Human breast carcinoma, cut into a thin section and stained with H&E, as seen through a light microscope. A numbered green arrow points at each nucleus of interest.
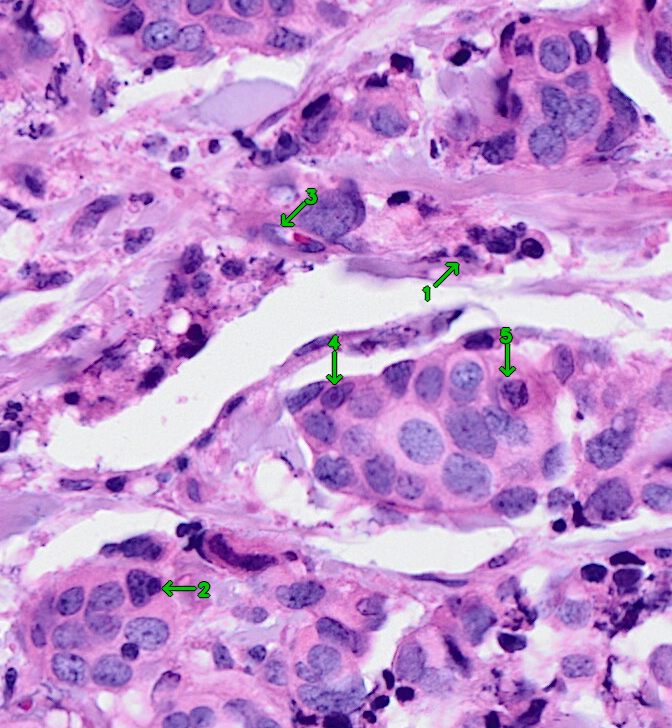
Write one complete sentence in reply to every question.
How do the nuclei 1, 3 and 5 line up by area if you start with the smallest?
By area, going up from the smallest, they rank 1, 3, 5.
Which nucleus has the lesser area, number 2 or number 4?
With nucleus 2 about 2 times its size, nucleus 4 is the smaller of the two.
